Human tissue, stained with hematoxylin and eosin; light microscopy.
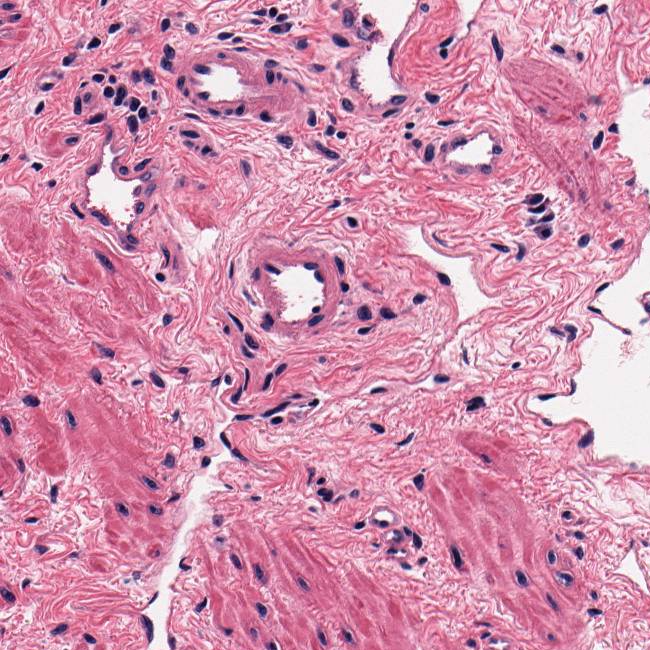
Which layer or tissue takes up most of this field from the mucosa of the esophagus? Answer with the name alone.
loose connective tissue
